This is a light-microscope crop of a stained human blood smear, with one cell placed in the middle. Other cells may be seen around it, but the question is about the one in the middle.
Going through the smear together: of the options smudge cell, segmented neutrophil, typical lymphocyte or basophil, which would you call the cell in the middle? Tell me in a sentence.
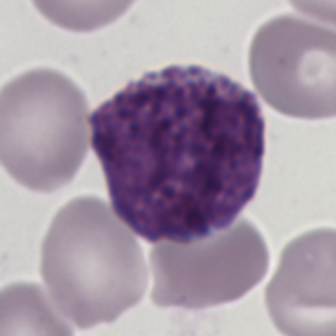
Where the crop is centred, there is a basophil.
